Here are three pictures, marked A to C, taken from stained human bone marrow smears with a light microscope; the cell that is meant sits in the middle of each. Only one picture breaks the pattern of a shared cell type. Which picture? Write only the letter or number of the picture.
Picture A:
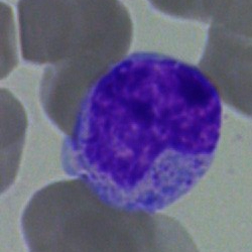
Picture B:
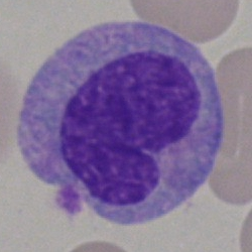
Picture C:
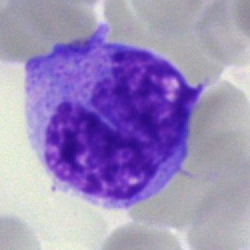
A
